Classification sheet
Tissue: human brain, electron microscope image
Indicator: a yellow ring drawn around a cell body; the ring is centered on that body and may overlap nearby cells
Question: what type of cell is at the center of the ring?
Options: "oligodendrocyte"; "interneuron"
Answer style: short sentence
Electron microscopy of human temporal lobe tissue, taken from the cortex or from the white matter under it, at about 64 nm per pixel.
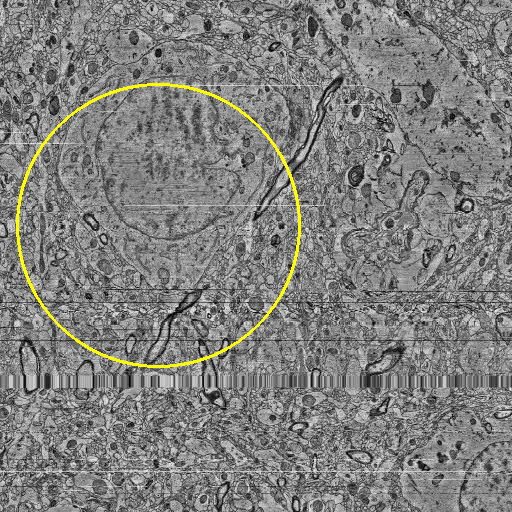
At the ring's center is an interneuron.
